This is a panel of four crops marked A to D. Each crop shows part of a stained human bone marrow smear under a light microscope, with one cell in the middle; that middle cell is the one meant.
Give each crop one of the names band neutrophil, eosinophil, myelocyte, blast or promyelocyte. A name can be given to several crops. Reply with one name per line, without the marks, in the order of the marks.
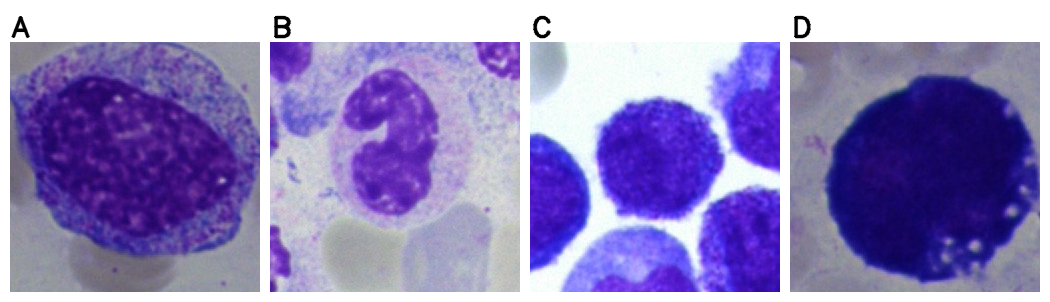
promyelocyte
band neutrophil
blast
blast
